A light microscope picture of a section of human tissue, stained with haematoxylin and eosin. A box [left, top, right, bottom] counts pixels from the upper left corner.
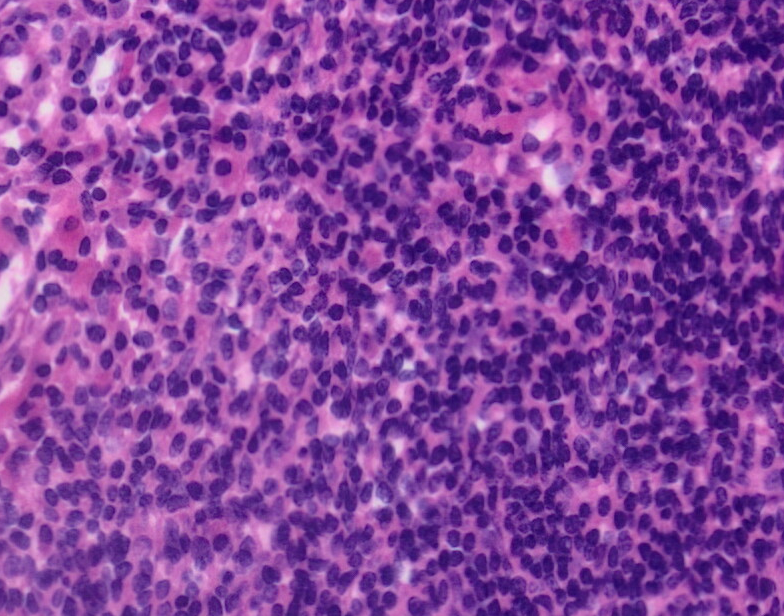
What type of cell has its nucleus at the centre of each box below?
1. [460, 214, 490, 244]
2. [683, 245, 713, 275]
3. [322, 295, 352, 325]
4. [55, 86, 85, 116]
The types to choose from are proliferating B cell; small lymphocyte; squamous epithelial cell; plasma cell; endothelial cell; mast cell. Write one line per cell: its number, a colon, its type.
1: small lymphocyte
2: small lymphocyte
3: small lymphocyte
4: plasma cell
